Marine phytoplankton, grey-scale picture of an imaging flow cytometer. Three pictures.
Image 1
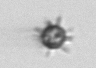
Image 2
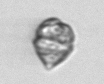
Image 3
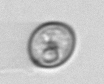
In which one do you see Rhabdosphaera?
In picture 1.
